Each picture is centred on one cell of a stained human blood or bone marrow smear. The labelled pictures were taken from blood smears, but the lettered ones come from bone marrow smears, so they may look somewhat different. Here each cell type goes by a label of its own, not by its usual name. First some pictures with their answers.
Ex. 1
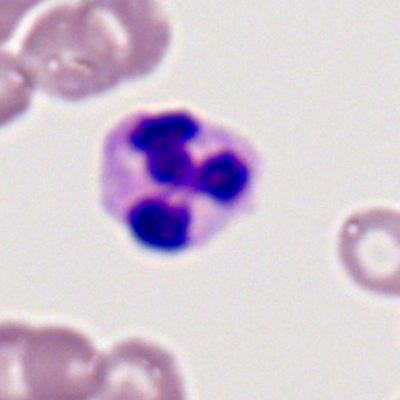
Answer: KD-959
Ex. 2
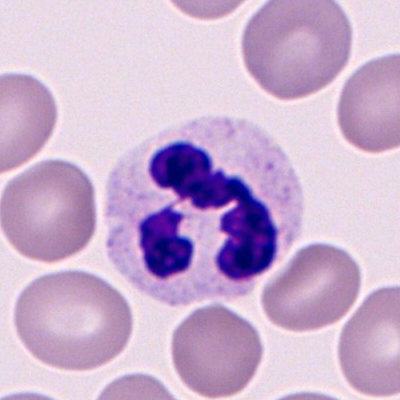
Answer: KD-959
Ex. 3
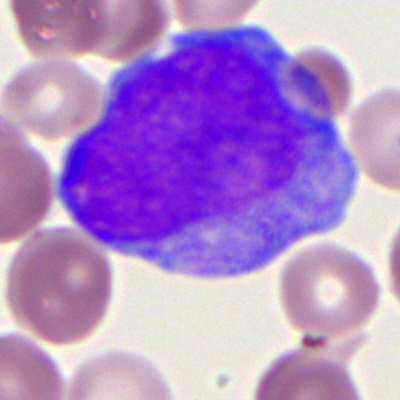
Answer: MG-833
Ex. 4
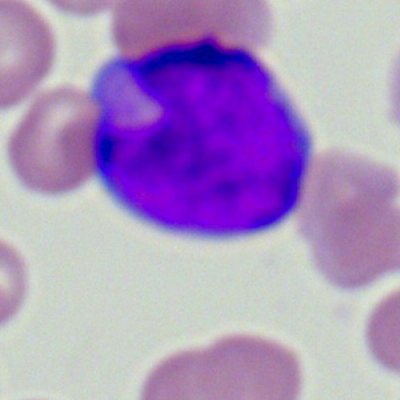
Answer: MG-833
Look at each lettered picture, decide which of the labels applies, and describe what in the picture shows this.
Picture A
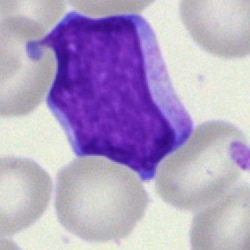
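Label: MG-833. The nucleus fills most of the cell and follows its angular outline.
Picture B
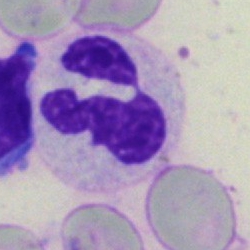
Label: KD-959. The cytoplasm is abundant and pale pinkish-lilac.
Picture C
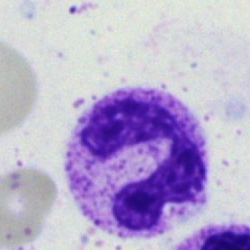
Label: KD-959. The chromatin is dark purple and coarsely clumped.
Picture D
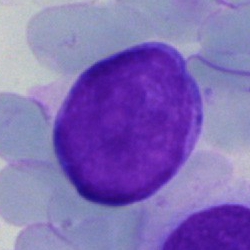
Label: MG-833. The nucleus fills almost the whole cell.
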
